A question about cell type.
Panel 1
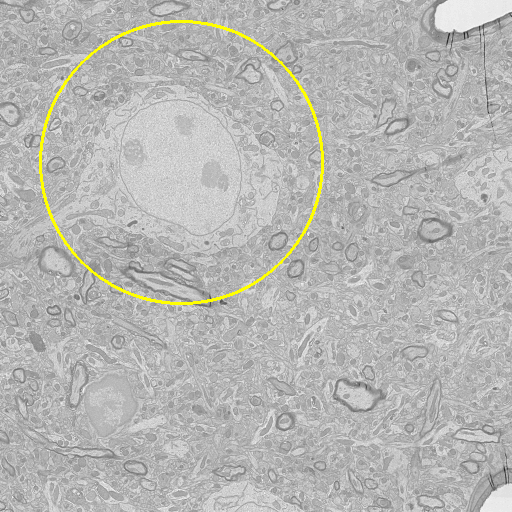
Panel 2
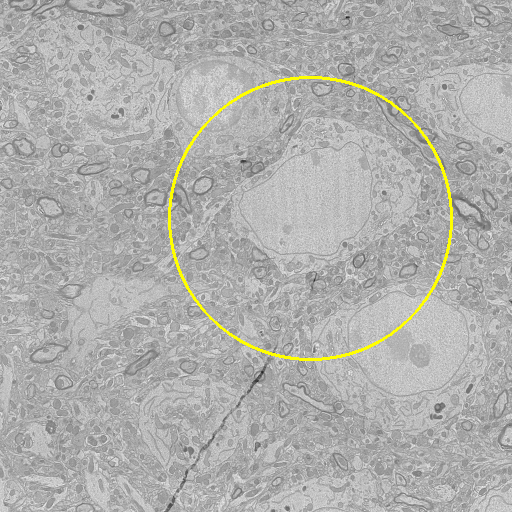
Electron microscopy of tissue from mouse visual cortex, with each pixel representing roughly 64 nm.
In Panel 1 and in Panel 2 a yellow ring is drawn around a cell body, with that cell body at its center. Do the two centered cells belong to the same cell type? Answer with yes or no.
yes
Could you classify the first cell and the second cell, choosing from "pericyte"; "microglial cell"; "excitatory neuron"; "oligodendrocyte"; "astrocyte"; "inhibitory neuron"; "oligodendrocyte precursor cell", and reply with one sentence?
Each of the two cells is an excitatory neuron.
